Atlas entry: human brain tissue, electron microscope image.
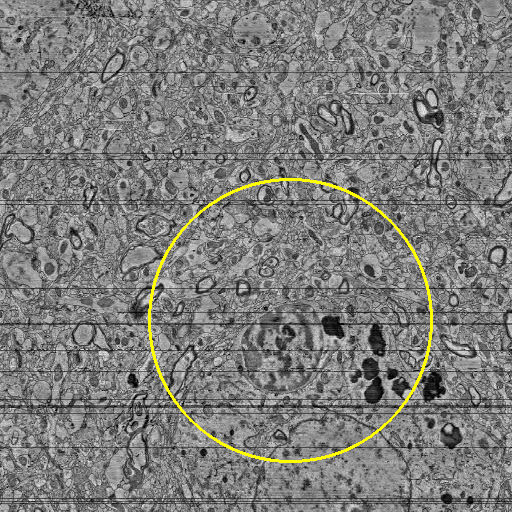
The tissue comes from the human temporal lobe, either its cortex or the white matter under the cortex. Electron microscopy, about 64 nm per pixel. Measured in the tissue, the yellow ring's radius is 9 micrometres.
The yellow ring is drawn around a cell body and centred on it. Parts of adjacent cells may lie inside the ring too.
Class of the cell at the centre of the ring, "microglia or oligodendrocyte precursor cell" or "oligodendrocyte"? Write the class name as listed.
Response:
oligodendrocyte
